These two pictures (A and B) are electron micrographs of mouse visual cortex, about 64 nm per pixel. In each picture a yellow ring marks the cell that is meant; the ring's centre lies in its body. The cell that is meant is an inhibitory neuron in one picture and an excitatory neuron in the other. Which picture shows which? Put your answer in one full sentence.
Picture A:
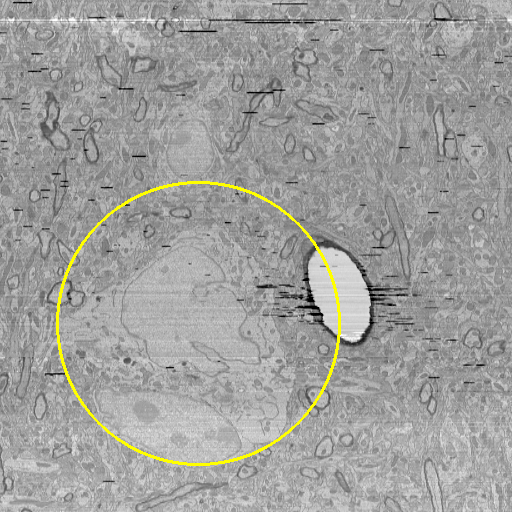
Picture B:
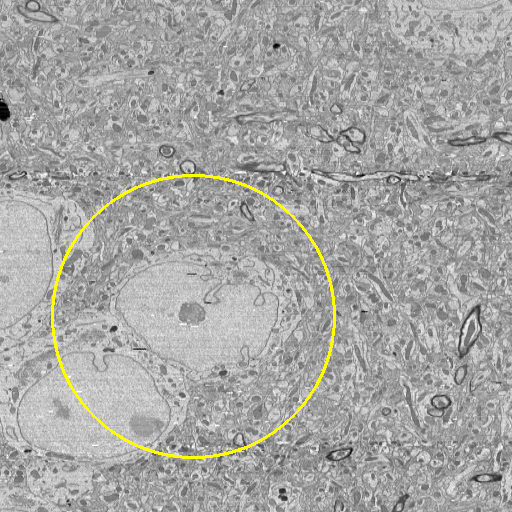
It is picture A that shows an excitatory neuron, and picture B that shows an inhibitory neuron.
